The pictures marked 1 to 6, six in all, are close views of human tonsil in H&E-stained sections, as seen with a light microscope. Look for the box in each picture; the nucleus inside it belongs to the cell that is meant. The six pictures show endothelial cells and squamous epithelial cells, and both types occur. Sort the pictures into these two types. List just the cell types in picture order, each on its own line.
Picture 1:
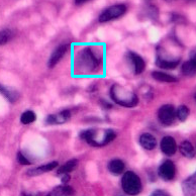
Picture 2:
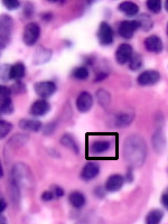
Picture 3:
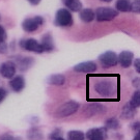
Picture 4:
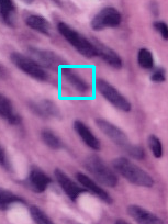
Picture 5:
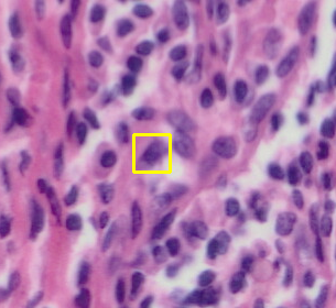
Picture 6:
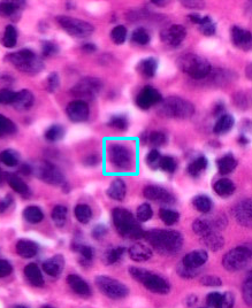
squamous epithelial cell
endothelial cell
endothelial cell
squamous epithelial cell
endothelial cell
squamous epithelial cell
